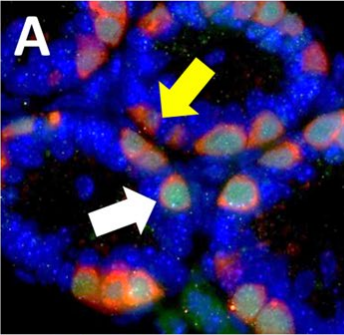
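Several round tubule profiles are seen in cross section, their walls lined by a row of large rounded cells with red cytoplasm, most of them holding a pale green nucleus. A few red cells lack the green nuclear staining. Between and inside the tubules lie many smaller blue nuclei without red.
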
